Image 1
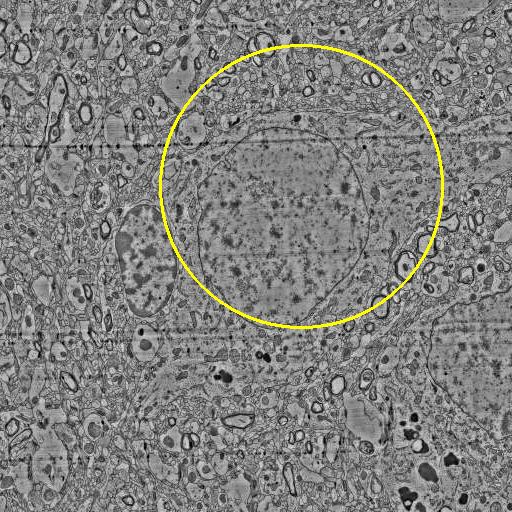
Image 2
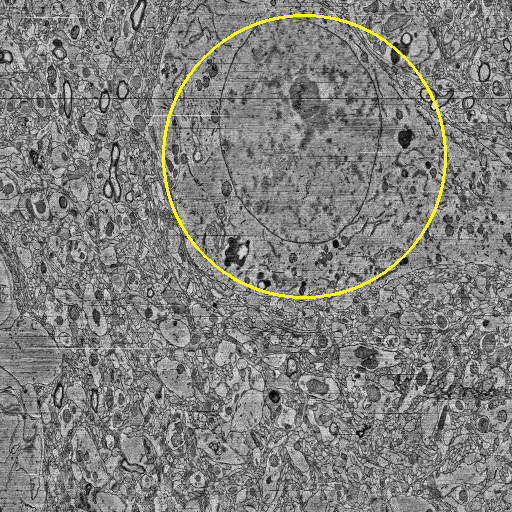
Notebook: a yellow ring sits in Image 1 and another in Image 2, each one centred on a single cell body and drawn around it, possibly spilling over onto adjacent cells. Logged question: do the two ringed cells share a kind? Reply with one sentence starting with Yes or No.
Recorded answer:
Yes, both centre cells inside the rings of Image 1 and Image 2 share one kind.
